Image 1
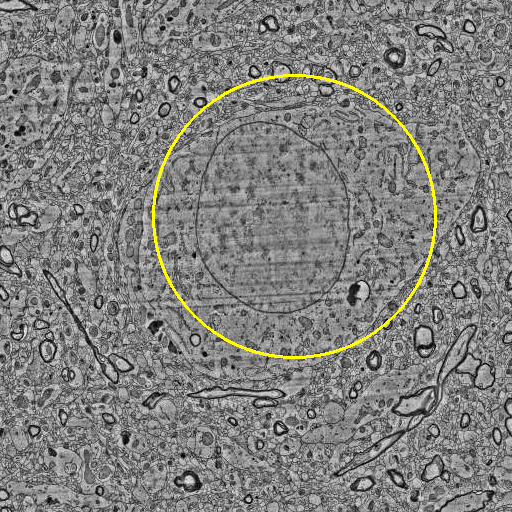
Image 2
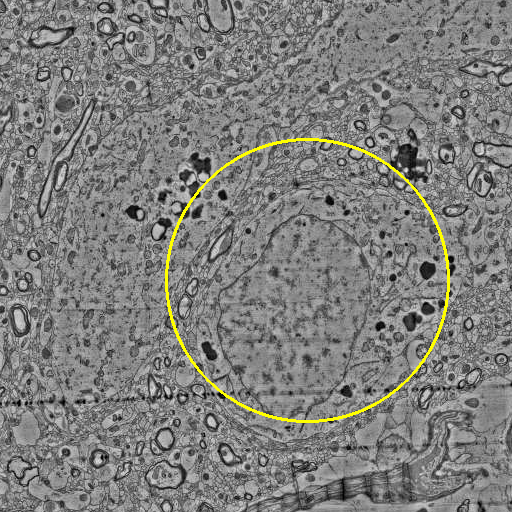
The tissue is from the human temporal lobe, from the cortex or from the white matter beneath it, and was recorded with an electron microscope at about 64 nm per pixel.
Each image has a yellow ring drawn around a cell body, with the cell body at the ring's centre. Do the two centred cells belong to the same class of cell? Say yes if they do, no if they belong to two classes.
yes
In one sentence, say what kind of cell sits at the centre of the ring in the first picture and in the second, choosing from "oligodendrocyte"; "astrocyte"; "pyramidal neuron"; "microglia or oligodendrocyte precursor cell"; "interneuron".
The cell at the ring centre is a pyramidal neuron in both pictures.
